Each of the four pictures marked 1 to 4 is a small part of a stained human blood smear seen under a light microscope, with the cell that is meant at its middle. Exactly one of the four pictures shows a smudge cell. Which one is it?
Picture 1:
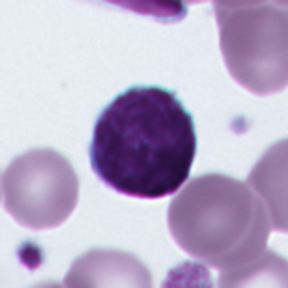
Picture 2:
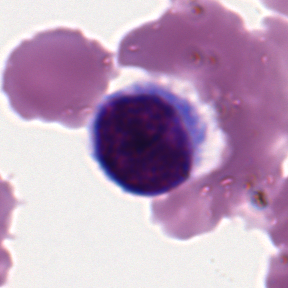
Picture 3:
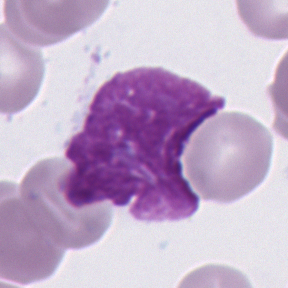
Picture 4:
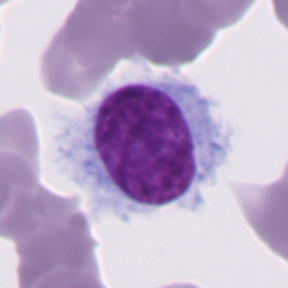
3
